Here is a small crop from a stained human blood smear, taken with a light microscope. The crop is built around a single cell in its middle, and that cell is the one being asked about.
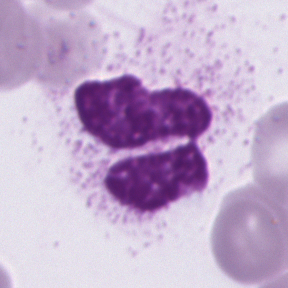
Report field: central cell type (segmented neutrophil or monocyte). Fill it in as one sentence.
In the central position of this crop, the cell is a segmented neutrophil.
